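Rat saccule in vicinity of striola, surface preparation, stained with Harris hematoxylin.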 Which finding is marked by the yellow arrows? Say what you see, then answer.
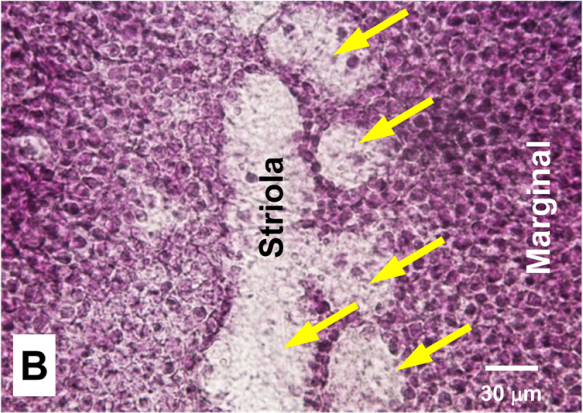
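Hair cells missing. The pale areas form a central band and adjacent rounded patches. Surrounding areas are densely packed with dark-nucleated cells.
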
